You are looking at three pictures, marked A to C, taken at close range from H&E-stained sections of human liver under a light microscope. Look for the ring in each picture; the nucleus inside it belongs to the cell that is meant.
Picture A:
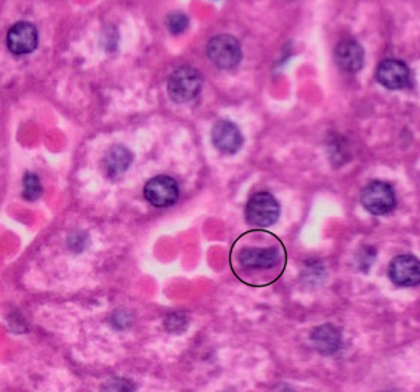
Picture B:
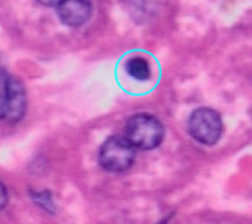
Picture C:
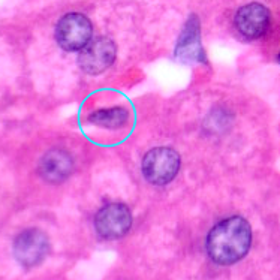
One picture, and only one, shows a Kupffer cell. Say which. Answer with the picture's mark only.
C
